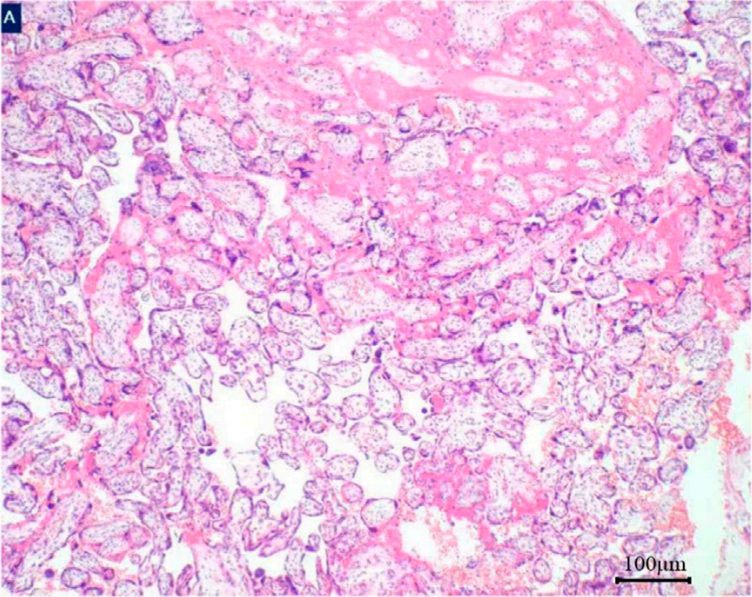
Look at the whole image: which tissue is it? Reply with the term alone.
Placenta parenchyma.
